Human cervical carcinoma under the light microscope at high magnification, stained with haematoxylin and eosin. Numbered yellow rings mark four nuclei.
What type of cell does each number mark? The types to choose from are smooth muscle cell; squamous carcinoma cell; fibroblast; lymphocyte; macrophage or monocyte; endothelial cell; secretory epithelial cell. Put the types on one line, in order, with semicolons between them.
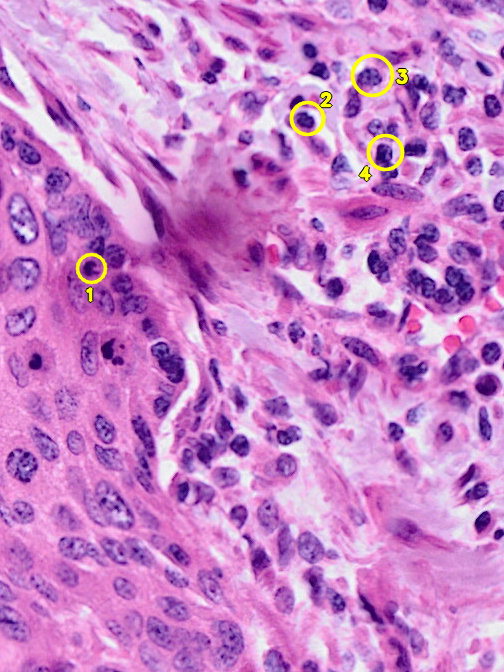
squamous carcinoma cell; lymphocyte; lymphocyte; lymphocyte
